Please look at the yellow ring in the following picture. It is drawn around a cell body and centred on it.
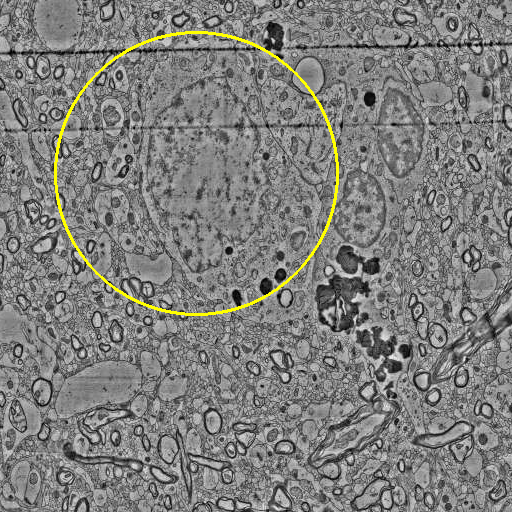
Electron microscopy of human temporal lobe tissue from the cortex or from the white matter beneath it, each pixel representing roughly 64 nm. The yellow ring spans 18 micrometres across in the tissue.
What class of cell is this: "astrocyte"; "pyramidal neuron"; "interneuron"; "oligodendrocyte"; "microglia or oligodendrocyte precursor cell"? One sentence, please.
The ring surrounds the cell body of an interneuron.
